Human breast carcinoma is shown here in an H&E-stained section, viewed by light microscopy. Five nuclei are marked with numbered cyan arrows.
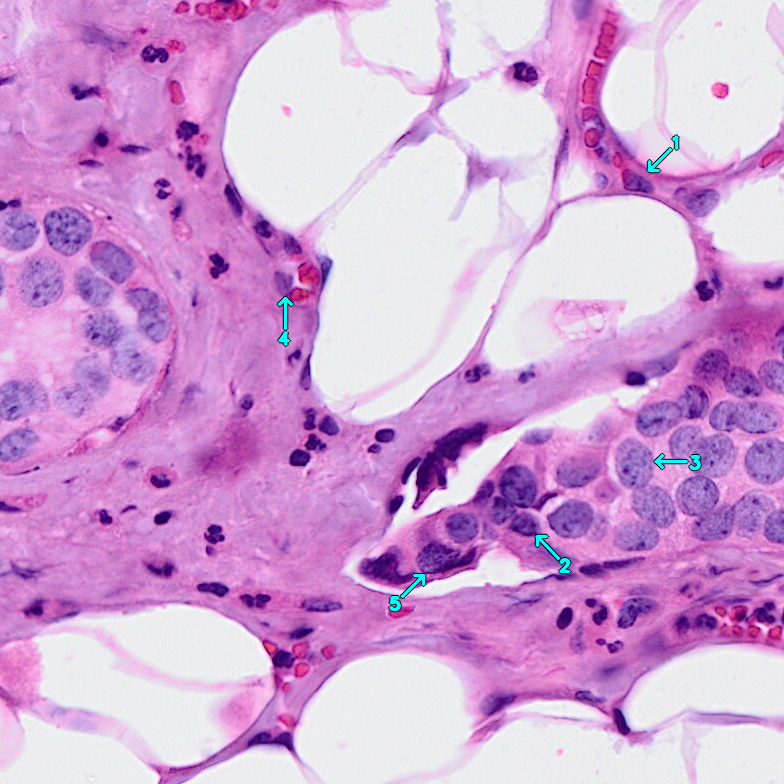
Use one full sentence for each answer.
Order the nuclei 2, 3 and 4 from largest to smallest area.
Going from the biggest nucleus down to the smallest gives 3, 2, 4.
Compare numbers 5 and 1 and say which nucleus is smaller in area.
Number 1 is smaller, since number 5 takes up about 2 times as much area.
